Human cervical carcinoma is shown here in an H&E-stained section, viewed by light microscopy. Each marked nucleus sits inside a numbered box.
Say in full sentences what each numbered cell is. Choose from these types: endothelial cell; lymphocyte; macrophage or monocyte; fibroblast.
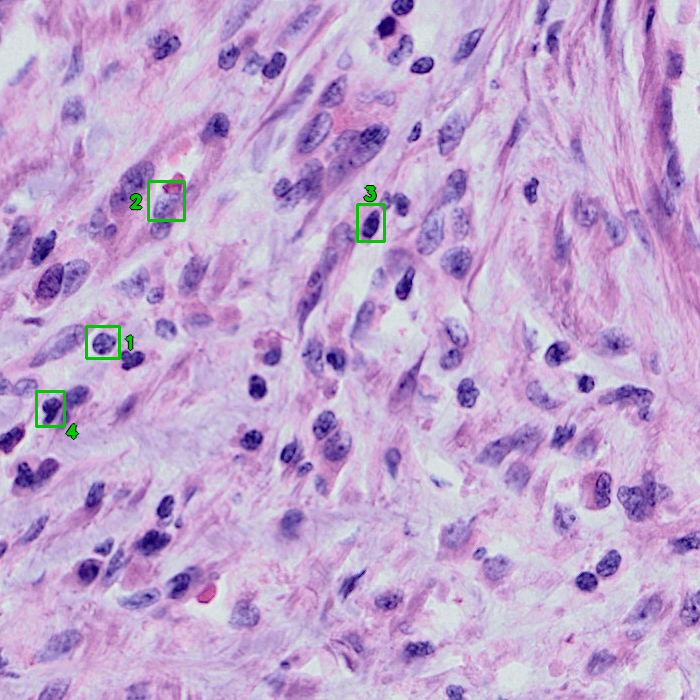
Cells 1, 3 and 4 are lymphocytes. Cell 2 is an endothelial cell.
